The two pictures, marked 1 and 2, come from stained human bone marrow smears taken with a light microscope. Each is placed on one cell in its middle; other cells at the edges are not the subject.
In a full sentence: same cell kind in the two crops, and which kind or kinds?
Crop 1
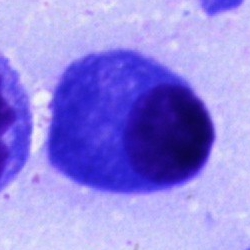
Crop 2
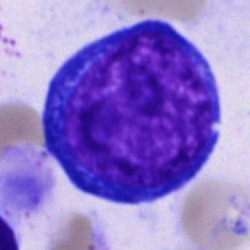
No, mark crop 1 as a plasma cell and crop 2 as a proerythroblast.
